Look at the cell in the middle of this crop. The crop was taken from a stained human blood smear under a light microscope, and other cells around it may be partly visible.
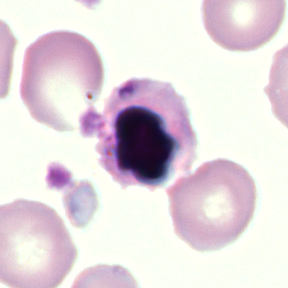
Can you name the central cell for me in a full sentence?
At the middle of the frame sits a normoblast.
